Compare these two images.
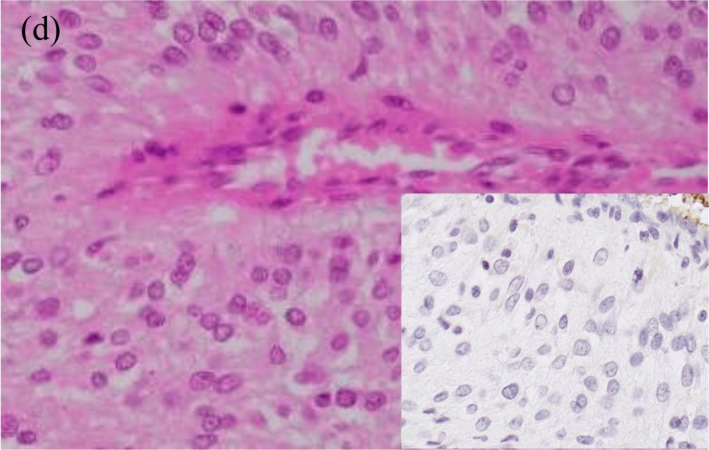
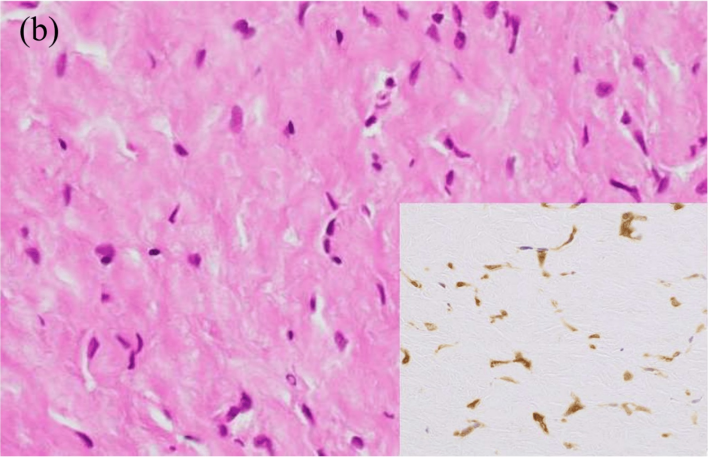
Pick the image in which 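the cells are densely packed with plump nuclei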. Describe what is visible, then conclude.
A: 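The first image. First image: many plump oval nuclei crowd the field with little matrix between. Second image: few small dark nuclei lie far apart in abundant pink matrix.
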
